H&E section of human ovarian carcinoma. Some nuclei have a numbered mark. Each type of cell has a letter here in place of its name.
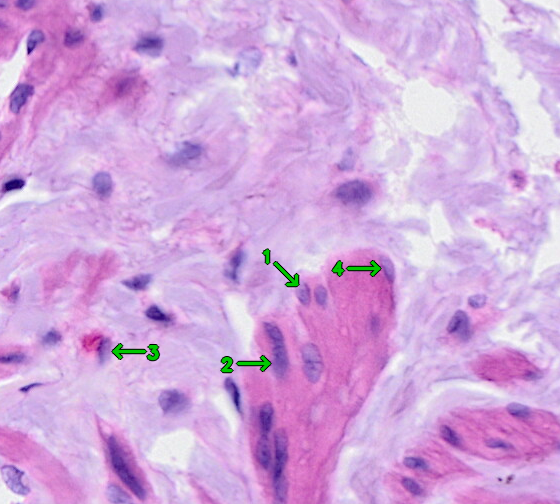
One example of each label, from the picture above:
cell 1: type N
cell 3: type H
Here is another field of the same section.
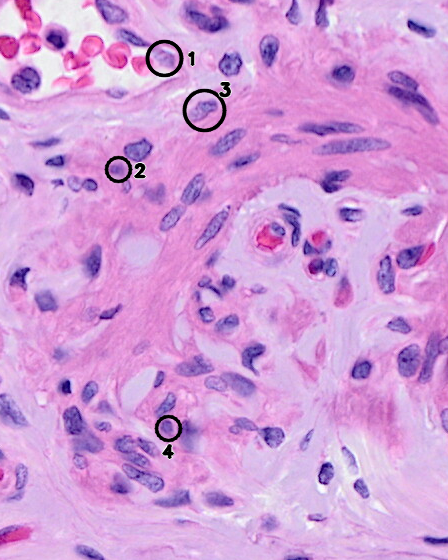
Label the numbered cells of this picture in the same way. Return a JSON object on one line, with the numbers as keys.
{"1": "type H", "2": "type N", "3": "type N", "4": "type N"}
